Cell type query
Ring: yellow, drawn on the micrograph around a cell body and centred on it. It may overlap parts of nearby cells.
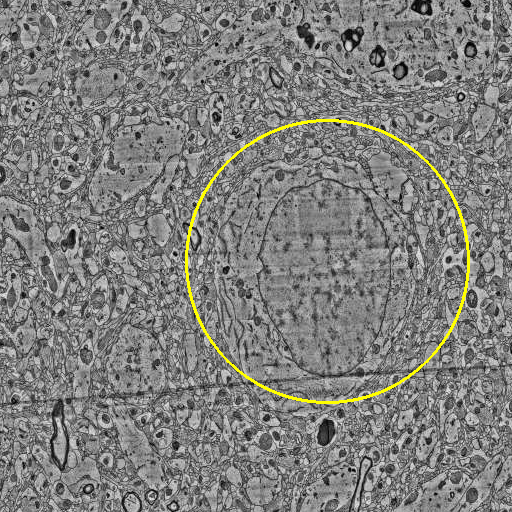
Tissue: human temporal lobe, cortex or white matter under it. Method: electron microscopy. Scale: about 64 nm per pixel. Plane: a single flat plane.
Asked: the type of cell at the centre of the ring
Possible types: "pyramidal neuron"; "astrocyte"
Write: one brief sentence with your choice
The ring marks a pyramidal neuron.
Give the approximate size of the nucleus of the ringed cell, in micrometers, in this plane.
About 13 by 9 micrometres in this plane.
